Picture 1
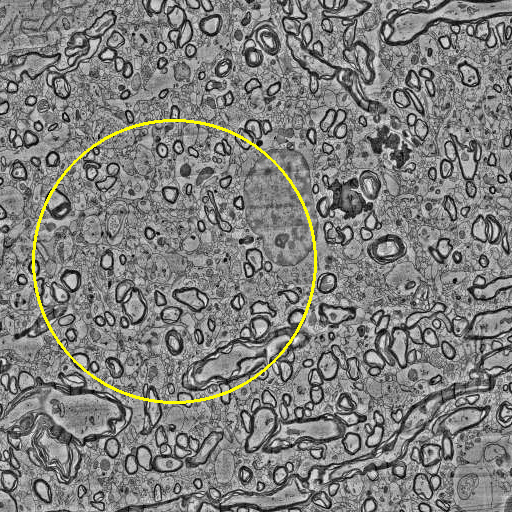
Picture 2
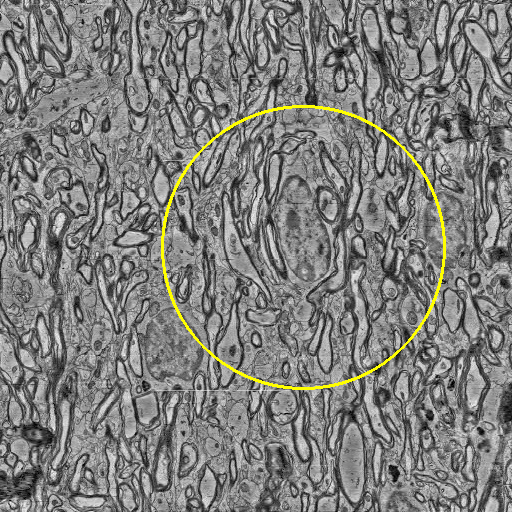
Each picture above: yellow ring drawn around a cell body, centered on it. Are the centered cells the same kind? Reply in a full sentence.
No, the two cells are two kinds of cell.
